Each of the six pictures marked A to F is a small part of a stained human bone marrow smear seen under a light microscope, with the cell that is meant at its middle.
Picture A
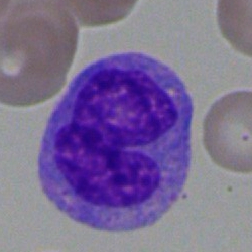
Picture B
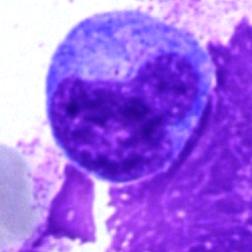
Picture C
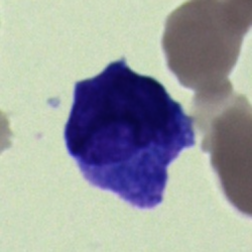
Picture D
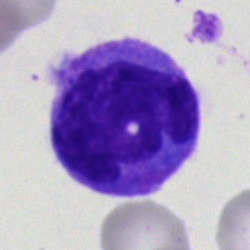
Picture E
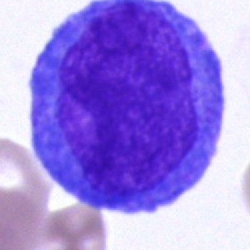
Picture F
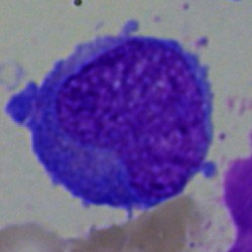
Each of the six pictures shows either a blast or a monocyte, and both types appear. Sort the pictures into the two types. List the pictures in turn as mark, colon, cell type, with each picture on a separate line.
A: monocyte
B: monocyte
C: blast
D: monocyte
E: blast
F: blast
